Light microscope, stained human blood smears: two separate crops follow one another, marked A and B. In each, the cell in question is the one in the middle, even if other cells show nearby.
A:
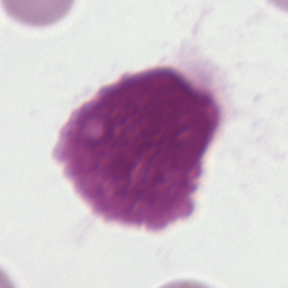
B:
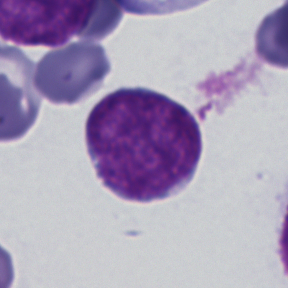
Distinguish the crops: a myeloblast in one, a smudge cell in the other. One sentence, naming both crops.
Crop A is identified as a smudge cell, and crop B is identified as a myeloblast.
